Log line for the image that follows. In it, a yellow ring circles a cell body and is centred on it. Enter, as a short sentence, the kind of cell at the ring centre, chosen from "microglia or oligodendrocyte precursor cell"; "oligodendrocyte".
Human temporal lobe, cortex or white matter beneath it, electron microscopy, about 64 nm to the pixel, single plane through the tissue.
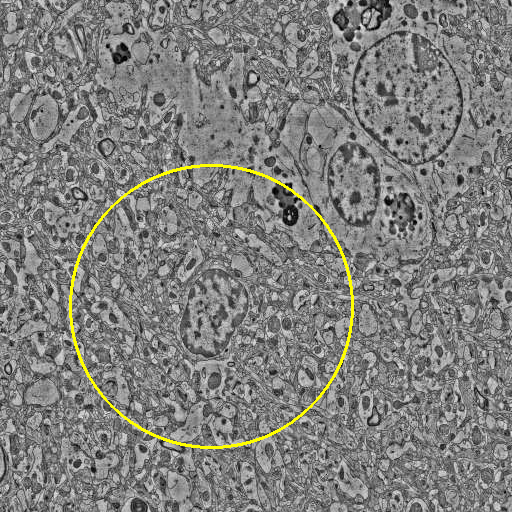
The ring centre is occupied by a microglial cell or oligodendrocyte precursor cell.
